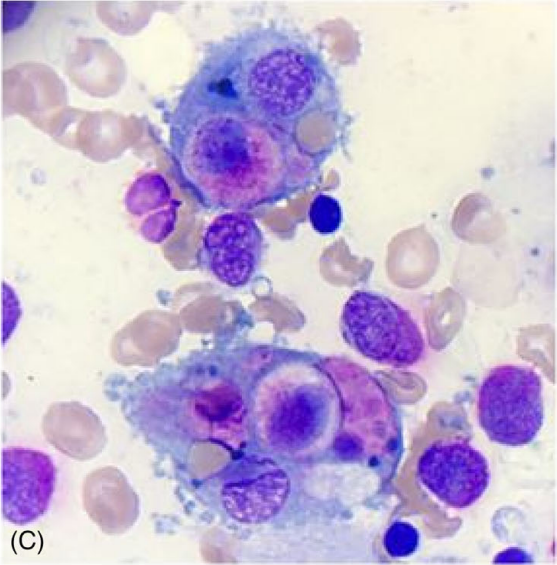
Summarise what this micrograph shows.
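These are two large marrow macrophages that have engulfed other blood cells. Each has abundant, pale blue, frothy cytoplasm in which whole red cells and nucleated cells with purple nuclei lie enclosed. Around them lie free red cells, a few small dark cells and other nucleated marrow cells.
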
